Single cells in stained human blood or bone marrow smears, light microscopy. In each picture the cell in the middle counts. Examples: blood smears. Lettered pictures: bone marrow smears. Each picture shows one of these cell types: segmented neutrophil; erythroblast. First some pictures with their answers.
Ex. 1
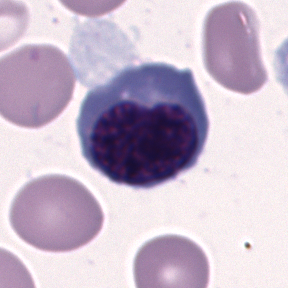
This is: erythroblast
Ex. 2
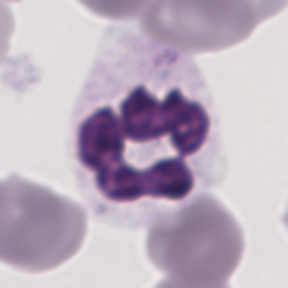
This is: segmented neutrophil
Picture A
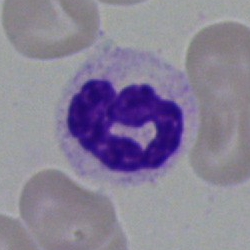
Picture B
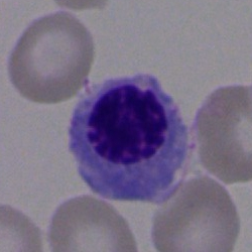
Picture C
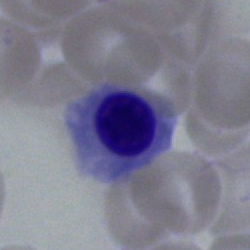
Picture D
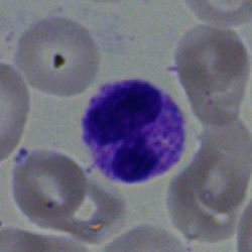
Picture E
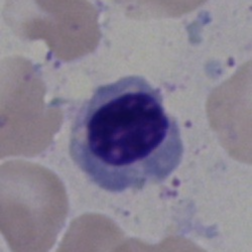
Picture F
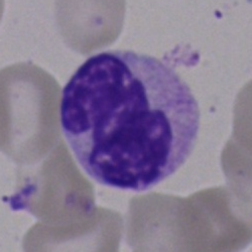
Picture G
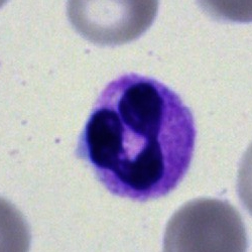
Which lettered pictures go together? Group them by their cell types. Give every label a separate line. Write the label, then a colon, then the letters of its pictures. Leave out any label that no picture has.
segmented neutrophil: A, D, F, G
erythroblast: B, C, E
